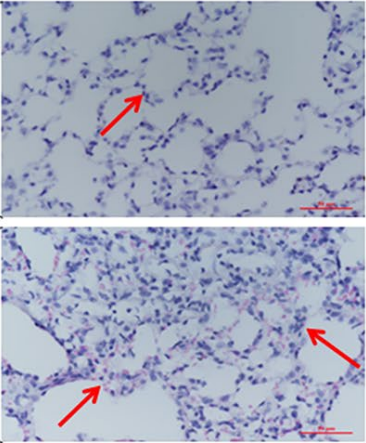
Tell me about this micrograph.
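In the upper image the lung parenchyma shows many open air spaces separated by thin walls, each only a few cells thick, with small blue-purple nuclei. In the lower image the walls between air spaces are thick and crowded with nuclei and pink-tinged cells, the tissue looks compact, and the open spaces are fewer.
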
